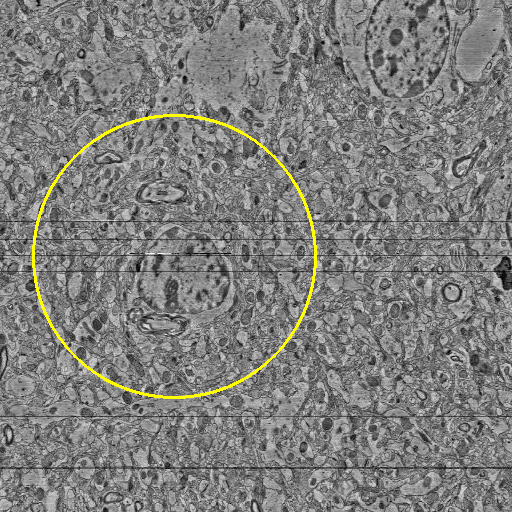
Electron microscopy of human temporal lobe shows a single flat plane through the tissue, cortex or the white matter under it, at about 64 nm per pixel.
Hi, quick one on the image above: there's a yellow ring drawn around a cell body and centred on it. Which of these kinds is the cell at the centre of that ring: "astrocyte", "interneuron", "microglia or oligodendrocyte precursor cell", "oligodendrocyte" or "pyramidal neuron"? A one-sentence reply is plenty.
The cell at the centre of the ring is a microglial cell or oligodendrocyte precursor cell.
